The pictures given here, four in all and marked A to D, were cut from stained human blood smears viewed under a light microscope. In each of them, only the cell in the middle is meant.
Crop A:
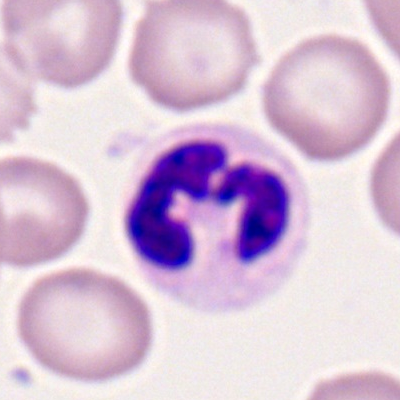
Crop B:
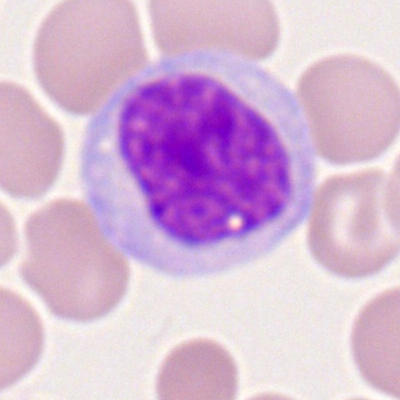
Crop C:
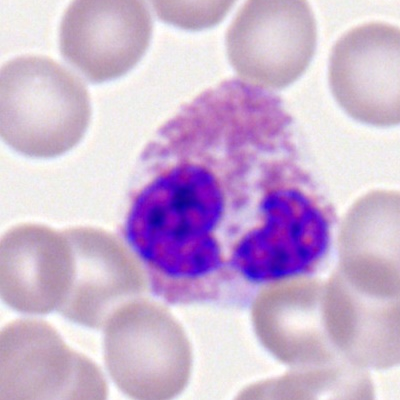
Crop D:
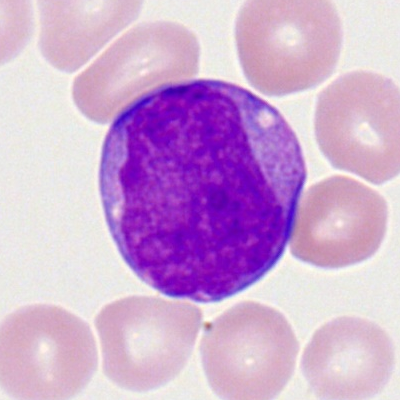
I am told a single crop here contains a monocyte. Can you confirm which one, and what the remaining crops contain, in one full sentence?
For crop B the cell is a monocyte, while crop A is a segmented neutrophil, crop C is an eosinophil and crop D is a myeloblast.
